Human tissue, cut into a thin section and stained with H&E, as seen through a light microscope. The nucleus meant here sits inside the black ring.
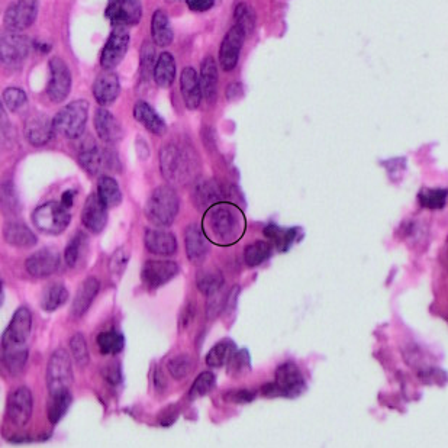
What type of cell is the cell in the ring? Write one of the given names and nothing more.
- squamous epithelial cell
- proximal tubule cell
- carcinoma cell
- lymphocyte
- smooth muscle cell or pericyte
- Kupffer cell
carcinoma cell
